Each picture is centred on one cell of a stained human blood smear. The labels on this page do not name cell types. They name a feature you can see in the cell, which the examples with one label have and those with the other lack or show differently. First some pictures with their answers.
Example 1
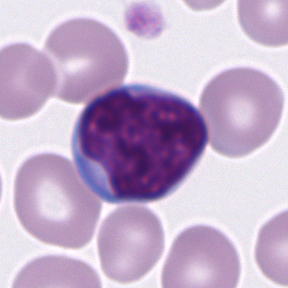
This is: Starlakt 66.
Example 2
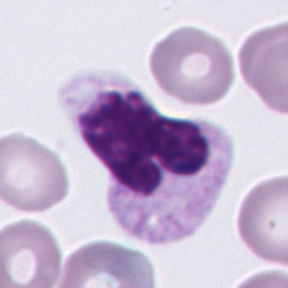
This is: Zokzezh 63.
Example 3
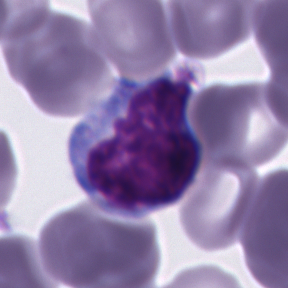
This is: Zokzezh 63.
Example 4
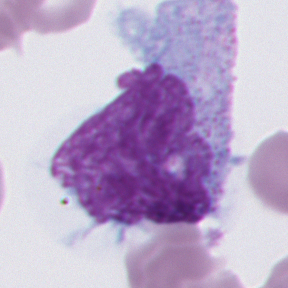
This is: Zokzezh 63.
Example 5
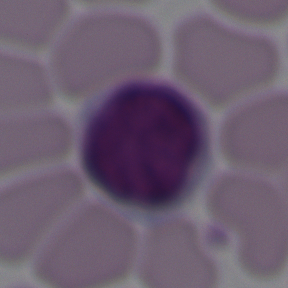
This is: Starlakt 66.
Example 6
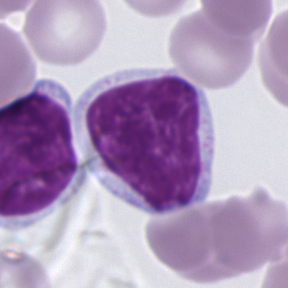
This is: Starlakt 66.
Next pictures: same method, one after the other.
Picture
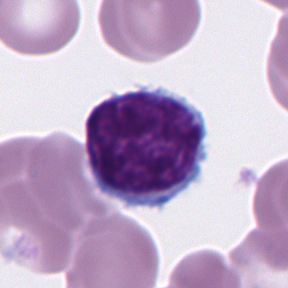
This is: Zokzezh 63.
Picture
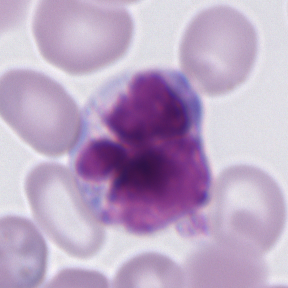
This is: Zokzezh 63.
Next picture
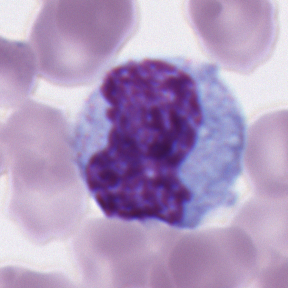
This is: Starlakt 66.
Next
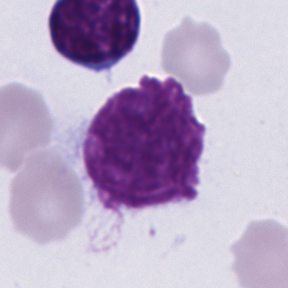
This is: Zokzezh 63.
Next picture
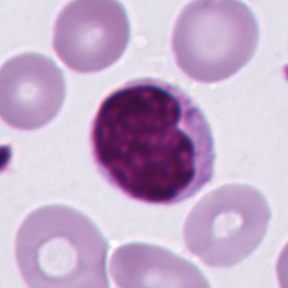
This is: Starlakt 66.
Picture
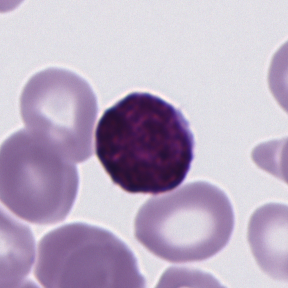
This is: Starlakt 66.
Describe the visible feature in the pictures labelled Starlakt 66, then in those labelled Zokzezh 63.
Seen in Starlakt 66: smooth outline; seen in Zokzezh 63: ragged outline or projections.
